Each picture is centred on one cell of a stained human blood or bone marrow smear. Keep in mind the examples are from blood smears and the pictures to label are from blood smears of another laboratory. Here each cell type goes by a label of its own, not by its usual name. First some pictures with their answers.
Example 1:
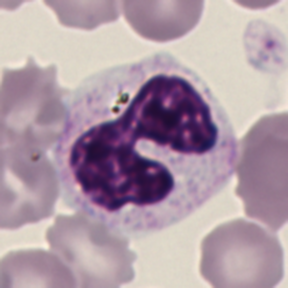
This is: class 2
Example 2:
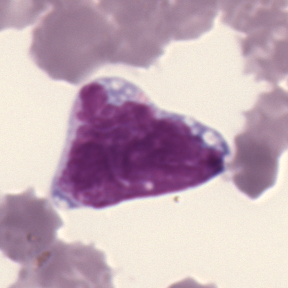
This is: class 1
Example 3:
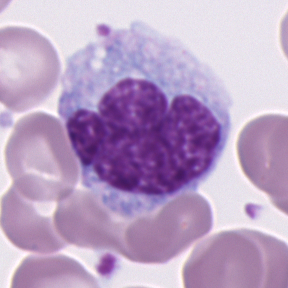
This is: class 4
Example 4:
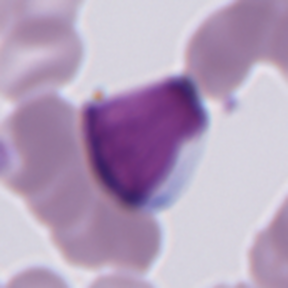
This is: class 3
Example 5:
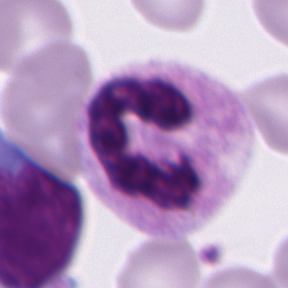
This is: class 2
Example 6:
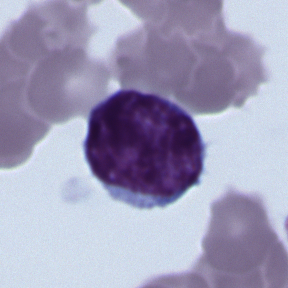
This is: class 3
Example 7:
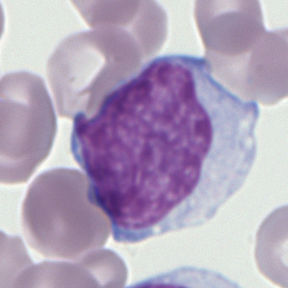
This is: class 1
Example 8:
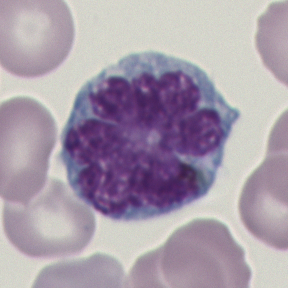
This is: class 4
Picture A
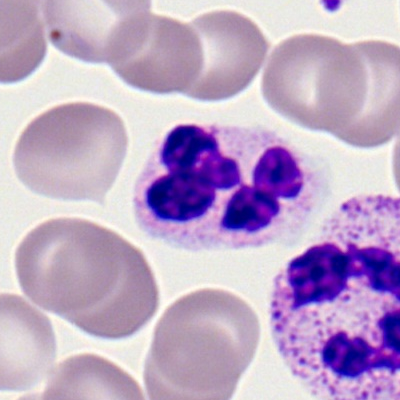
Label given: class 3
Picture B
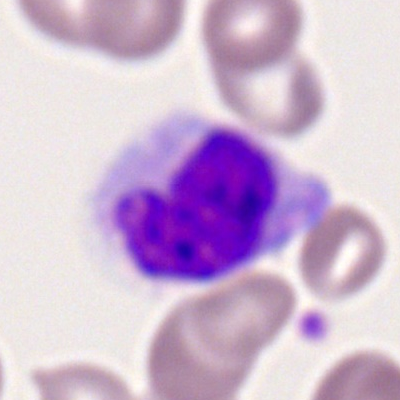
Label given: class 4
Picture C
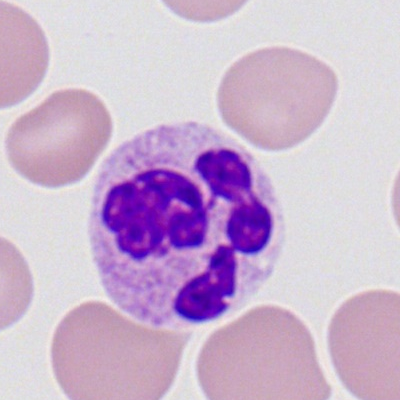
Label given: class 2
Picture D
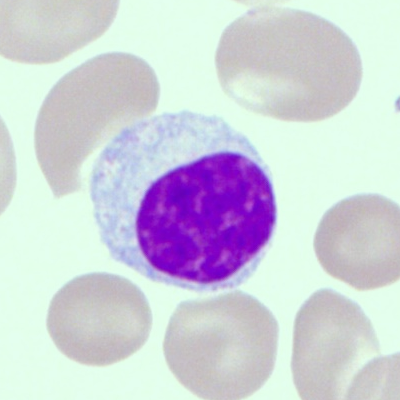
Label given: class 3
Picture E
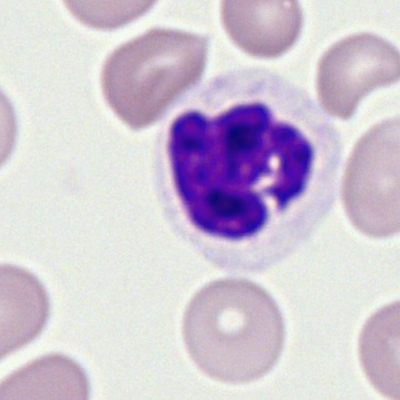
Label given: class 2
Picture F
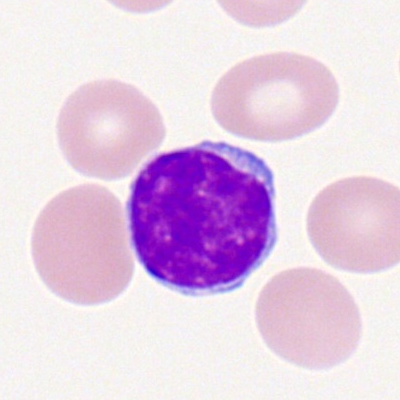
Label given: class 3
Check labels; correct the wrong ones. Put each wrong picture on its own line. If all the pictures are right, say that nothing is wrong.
A: change class 3 to class 2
